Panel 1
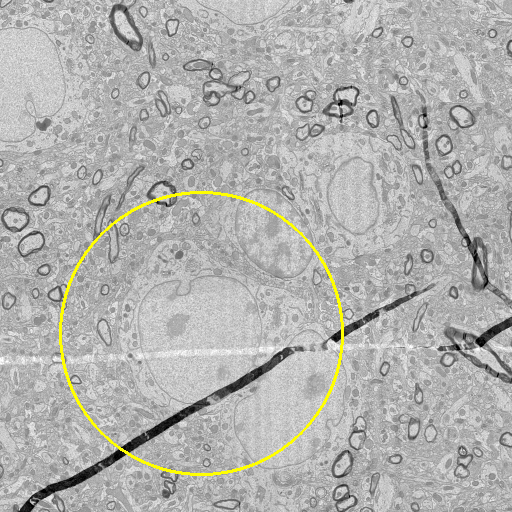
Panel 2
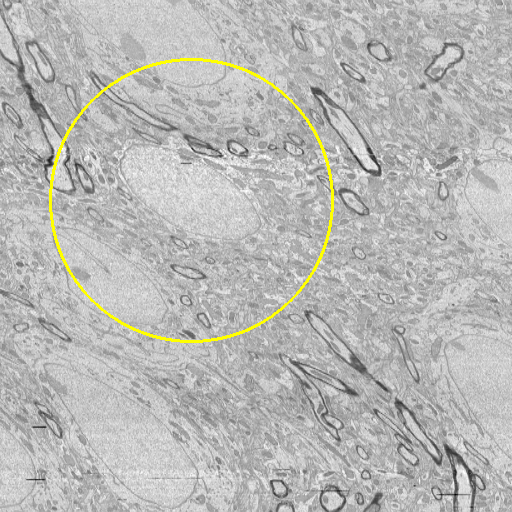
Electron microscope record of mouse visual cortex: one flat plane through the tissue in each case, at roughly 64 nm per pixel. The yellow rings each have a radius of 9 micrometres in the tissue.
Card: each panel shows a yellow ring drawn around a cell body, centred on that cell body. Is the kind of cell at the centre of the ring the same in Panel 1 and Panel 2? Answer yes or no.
no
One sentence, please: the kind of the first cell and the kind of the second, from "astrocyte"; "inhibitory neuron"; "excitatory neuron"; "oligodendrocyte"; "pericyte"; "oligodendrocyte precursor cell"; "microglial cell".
The ring in the first picture surrounds an excitatory neuron, and the ring in the second surrounds an astrocyte.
